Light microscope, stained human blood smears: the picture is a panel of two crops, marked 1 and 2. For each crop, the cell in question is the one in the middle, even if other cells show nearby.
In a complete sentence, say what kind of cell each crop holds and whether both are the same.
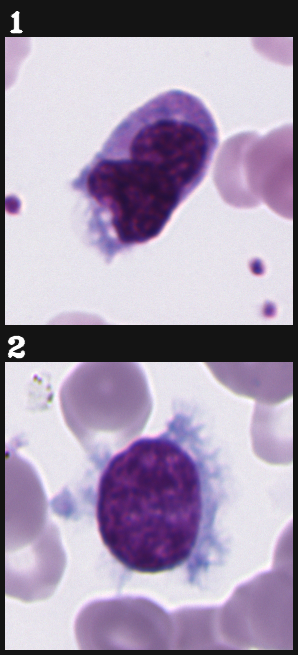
No, a monocyte and a hairy cell are found in crop 1 and crop 2, respectively.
